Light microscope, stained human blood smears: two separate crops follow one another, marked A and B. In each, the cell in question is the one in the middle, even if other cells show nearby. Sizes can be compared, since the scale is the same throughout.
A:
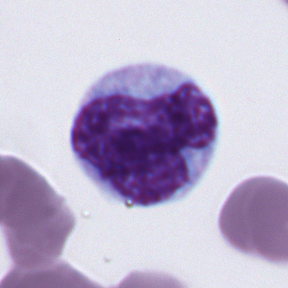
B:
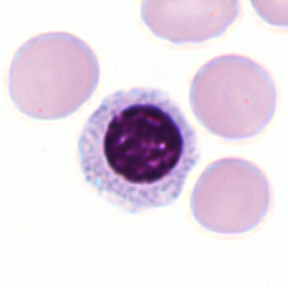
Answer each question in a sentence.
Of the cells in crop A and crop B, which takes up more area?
The cell in crop A is larger, with about 1.5 times the area of the one in crop B.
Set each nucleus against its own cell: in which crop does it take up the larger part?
Of the two, the nucleus in crop A makes up the greater part of its cell.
